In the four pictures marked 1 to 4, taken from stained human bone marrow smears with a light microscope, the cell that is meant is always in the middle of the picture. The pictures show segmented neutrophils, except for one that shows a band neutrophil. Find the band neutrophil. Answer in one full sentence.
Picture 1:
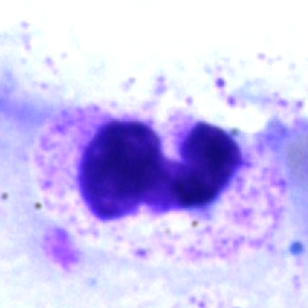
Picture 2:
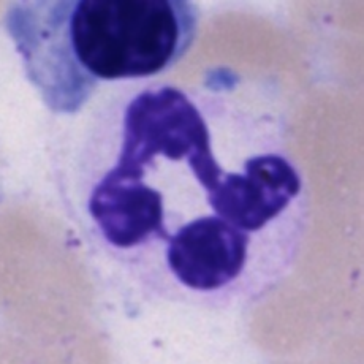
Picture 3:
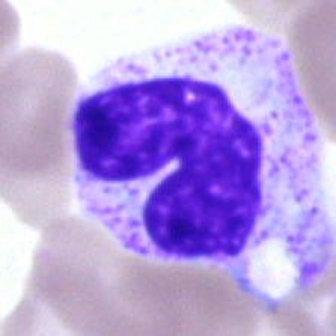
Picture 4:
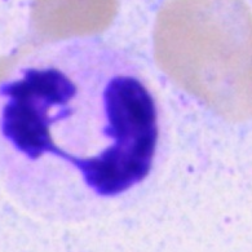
It is picture 3 that shows the band neutrophil.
